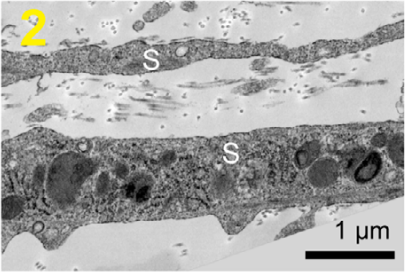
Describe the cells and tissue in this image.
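Two thin, flattened cells run horizontally across the field, lying parallel with a narrow space between them. The lower cell is thicker, its cytoplasm holding mitochondria, dense granules and membrane profiles; the upper is a slender sheet of cytoplasm. In the space between them lie fine fibrils, some cut lengthwise as dark streaks and others in cross-section as small dots, the collagen of the extracellular matrix. These are spread-out cells stacked in layers with matrix between, as in a loosely packed cell-matrix layer.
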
